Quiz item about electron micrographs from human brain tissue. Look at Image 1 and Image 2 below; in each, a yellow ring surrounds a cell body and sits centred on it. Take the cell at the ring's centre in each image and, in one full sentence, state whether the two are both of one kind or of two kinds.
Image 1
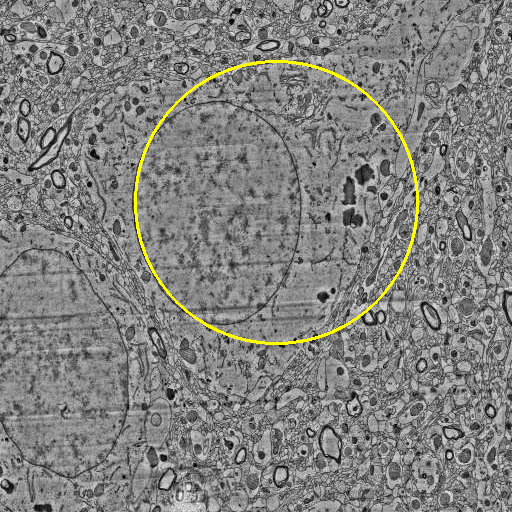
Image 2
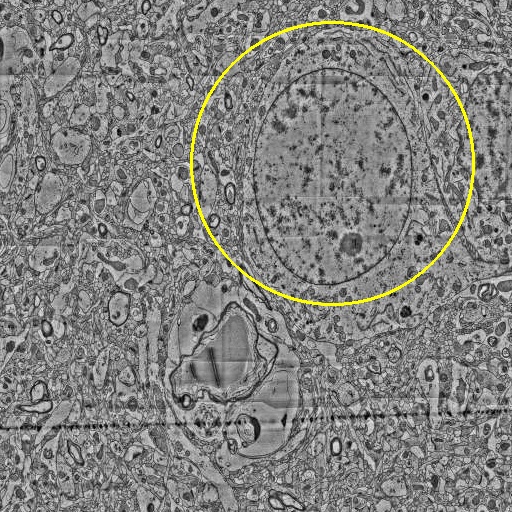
In Image 1 and Image 2, the cells at the ring centres are both of one kind.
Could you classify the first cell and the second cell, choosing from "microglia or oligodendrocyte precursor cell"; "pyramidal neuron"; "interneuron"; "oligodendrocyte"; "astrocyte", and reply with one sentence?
The cell at the ring centre is a pyramidal neuron in both pictures.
